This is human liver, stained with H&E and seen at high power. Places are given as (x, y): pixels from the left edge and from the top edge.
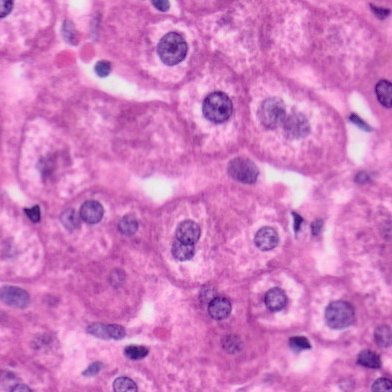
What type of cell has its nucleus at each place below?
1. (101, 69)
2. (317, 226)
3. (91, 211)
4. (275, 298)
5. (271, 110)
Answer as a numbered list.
1. lymphocyte
2. Kupffer cell
3. hepatocyte
4. hepatocyte
5. hepatocyte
